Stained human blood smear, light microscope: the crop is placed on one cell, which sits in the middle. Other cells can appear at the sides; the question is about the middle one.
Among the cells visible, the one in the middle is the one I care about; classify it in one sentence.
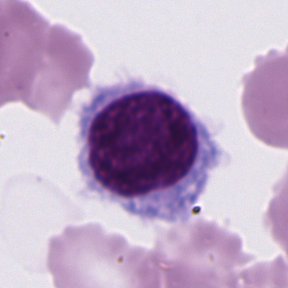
The crop centres on a single cell, and that cell is a hairy cell.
